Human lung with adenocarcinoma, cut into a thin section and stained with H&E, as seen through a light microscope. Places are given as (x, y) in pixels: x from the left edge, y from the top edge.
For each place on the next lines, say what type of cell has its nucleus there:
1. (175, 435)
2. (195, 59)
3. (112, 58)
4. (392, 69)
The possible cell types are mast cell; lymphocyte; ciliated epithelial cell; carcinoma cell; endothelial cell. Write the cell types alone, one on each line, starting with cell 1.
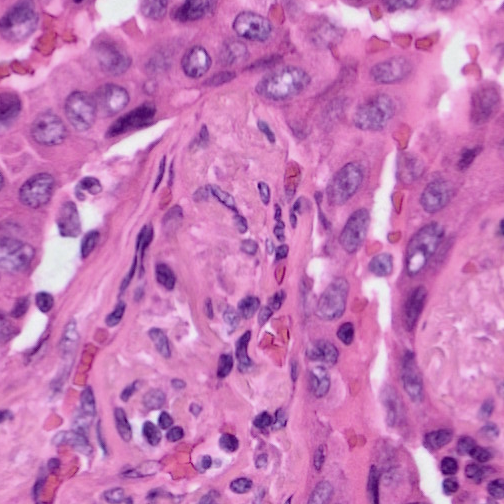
lymphocyte
carcinoma cell
carcinoma cell
carcinoma cell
